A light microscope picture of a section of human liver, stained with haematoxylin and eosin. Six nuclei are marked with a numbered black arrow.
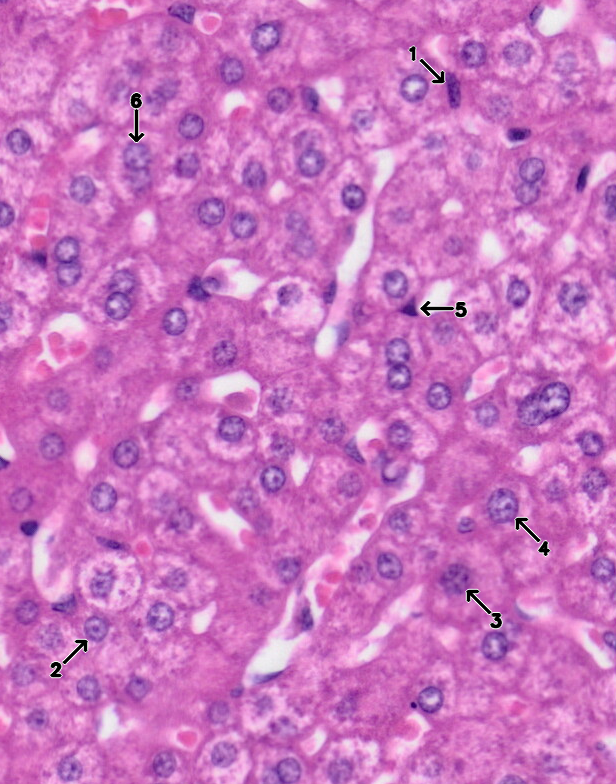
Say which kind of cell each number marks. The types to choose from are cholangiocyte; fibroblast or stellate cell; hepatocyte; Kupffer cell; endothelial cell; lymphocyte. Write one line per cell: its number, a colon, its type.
1: fibroblast or stellate cell
2: hepatocyte
3: hepatocyte
4: hepatocyte
5: fibroblast or stellate cell
6: hepatocyte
